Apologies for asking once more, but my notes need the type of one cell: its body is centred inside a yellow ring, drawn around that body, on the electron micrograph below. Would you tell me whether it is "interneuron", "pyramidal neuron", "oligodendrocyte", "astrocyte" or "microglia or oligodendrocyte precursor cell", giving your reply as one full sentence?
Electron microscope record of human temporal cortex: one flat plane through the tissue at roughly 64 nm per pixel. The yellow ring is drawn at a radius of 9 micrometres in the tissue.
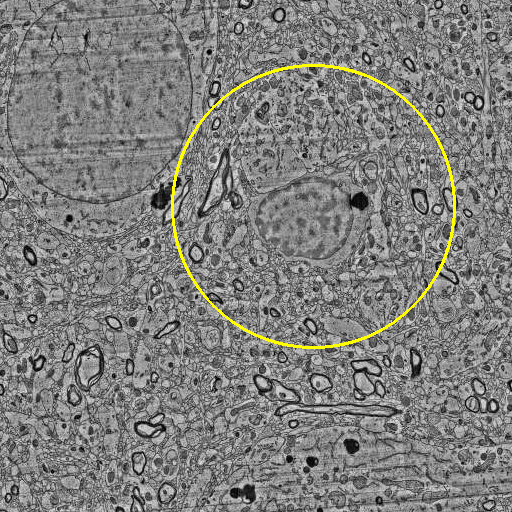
The cell that the yellow ring is centred on is an oligodendrocyte in this micrograph.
